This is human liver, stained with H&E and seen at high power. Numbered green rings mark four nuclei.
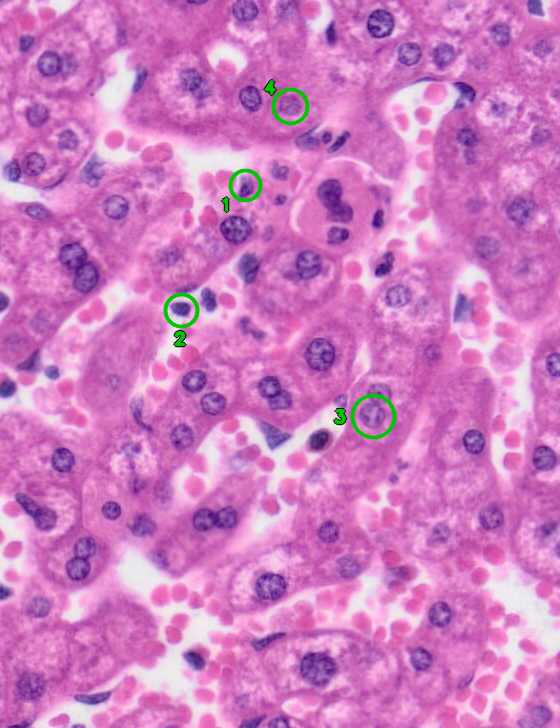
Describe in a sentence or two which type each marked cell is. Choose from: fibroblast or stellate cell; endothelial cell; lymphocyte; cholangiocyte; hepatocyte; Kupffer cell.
Cell 1 is a fibroblast or stellate cell. Cell 2 is a lymphocyte. Cells 3 and 4 are hepatocytes.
